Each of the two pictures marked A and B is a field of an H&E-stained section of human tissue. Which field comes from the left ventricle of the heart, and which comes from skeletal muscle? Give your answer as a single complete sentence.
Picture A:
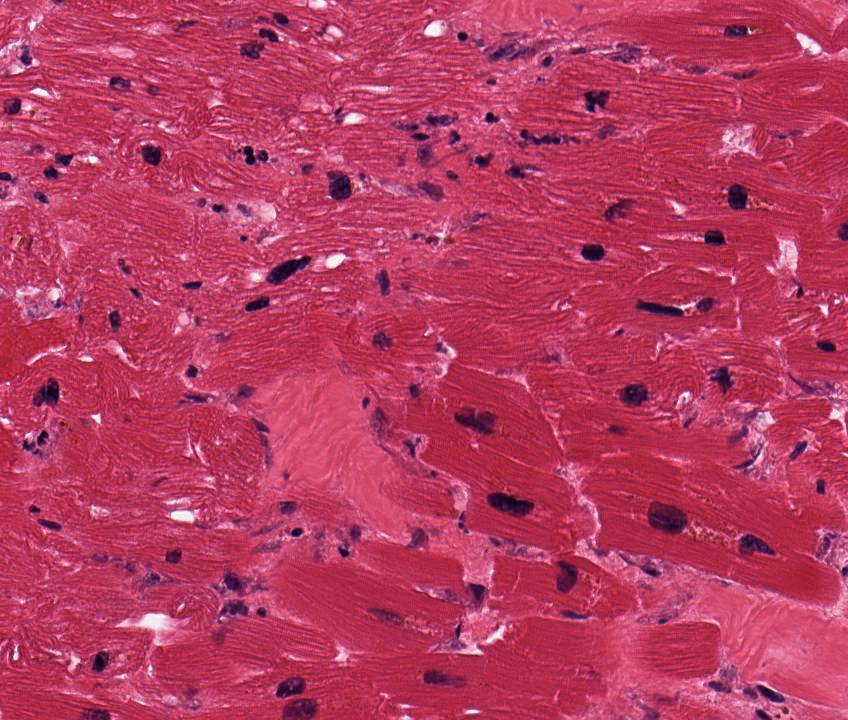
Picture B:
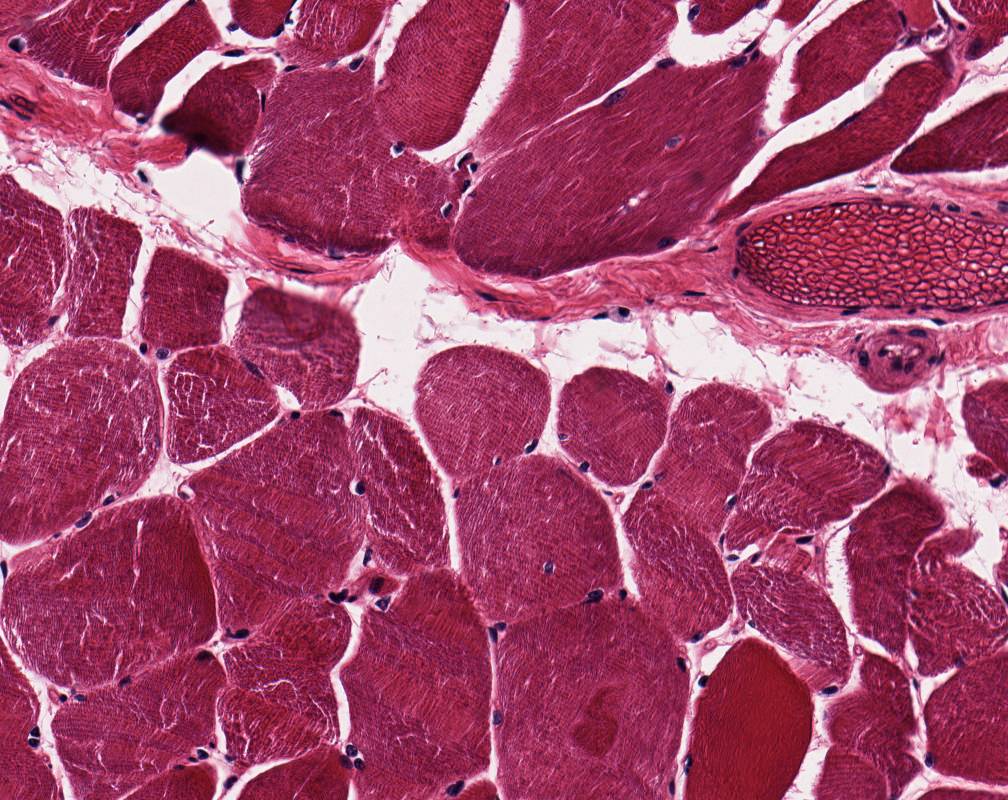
Picture A comes from the left ventricle of the heart; picture B comes from skeletal muscle.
